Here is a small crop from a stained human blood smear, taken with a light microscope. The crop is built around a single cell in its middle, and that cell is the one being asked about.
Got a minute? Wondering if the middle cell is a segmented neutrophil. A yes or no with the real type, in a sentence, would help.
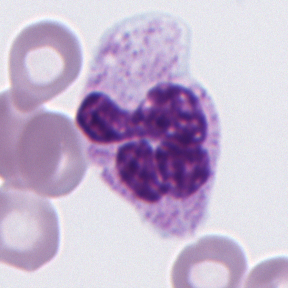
Yes, the cell in the middle has the identity of a segmented neutrophil.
